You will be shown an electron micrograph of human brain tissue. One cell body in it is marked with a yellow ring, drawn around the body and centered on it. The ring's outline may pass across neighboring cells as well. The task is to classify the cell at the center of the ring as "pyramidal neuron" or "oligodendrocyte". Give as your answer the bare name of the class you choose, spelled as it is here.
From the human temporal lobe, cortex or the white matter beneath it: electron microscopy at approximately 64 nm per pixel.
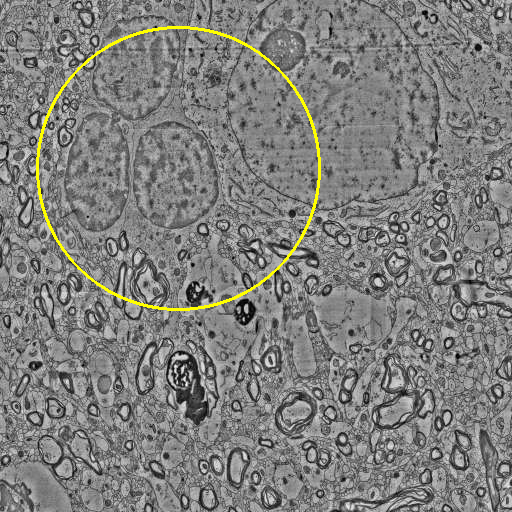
oligodendrocyte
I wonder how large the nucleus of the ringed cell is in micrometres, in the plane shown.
The nucleus measures about 7 by 6 micrometres in this plane.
